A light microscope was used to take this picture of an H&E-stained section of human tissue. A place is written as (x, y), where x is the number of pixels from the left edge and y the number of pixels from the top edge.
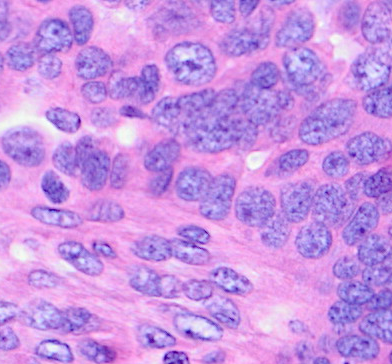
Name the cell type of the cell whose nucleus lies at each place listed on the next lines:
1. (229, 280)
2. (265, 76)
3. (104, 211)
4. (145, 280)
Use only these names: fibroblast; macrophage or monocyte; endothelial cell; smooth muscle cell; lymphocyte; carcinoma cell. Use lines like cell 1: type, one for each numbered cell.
cell 1: fibroblast
cell 2: carcinoma cell
cell 3: fibroblast
cell 4: fibroblast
